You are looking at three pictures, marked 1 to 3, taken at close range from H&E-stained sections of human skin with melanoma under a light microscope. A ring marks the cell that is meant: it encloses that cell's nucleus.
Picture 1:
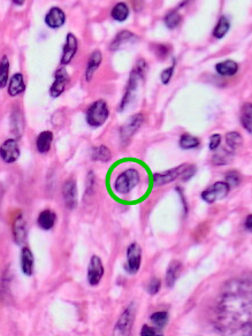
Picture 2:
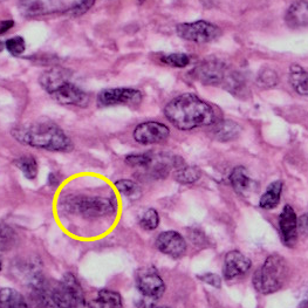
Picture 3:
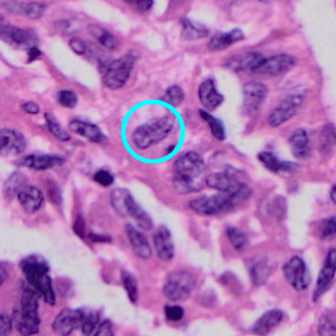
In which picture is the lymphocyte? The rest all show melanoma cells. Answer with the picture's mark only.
1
